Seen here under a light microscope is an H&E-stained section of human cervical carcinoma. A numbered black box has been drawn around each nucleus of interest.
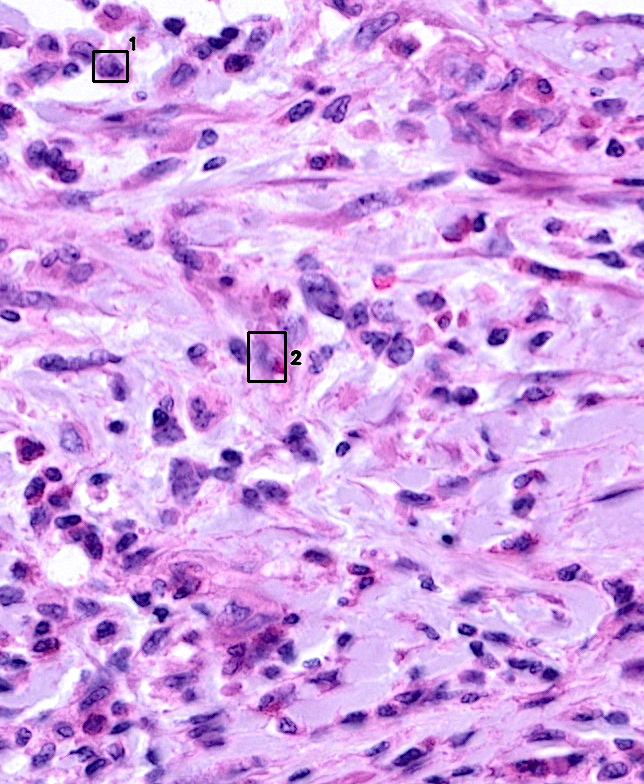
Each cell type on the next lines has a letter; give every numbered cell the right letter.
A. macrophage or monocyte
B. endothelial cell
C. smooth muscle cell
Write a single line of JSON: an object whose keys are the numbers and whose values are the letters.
{"1": "A", "2": "B"}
